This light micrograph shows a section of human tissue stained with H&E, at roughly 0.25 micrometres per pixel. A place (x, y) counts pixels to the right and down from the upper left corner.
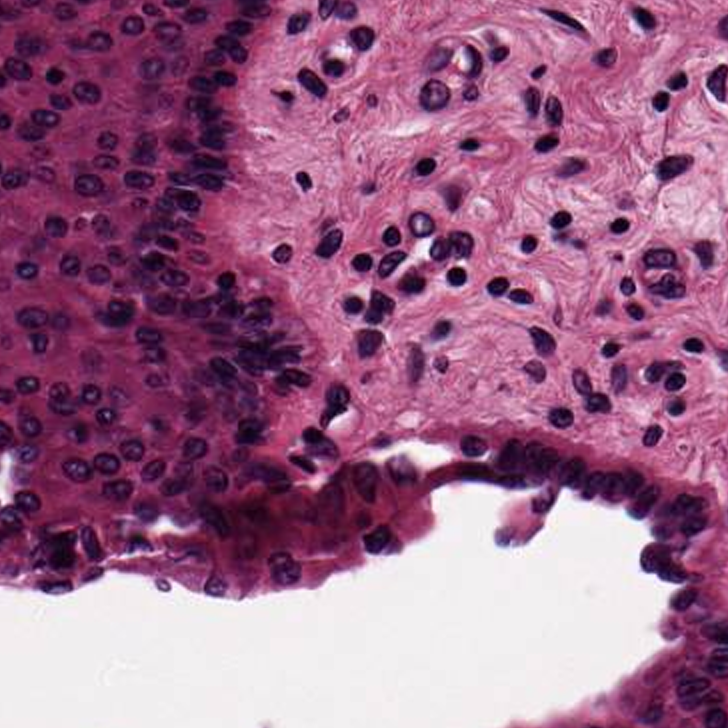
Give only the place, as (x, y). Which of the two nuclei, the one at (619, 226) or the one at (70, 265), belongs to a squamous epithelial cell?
(70, 265)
